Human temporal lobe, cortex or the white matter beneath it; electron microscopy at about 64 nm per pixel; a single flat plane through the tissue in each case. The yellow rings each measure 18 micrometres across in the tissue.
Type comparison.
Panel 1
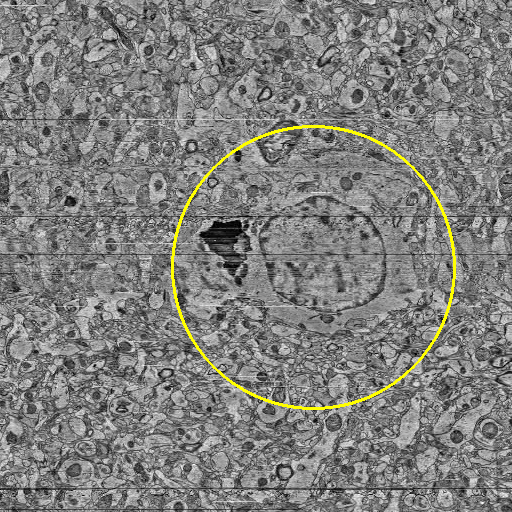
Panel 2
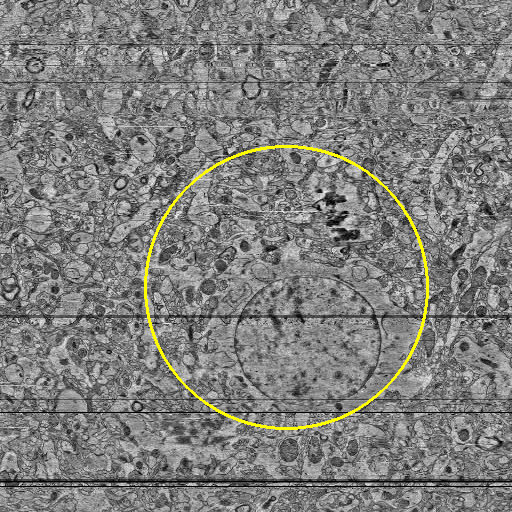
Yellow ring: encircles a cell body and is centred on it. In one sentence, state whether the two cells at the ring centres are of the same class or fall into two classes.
In these panels, the two cells at the ring centres are of the same class.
